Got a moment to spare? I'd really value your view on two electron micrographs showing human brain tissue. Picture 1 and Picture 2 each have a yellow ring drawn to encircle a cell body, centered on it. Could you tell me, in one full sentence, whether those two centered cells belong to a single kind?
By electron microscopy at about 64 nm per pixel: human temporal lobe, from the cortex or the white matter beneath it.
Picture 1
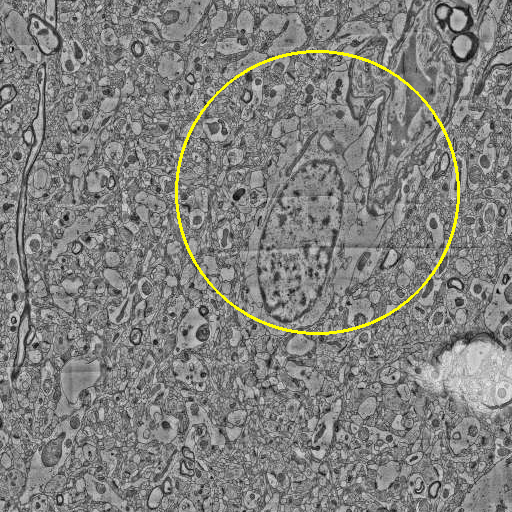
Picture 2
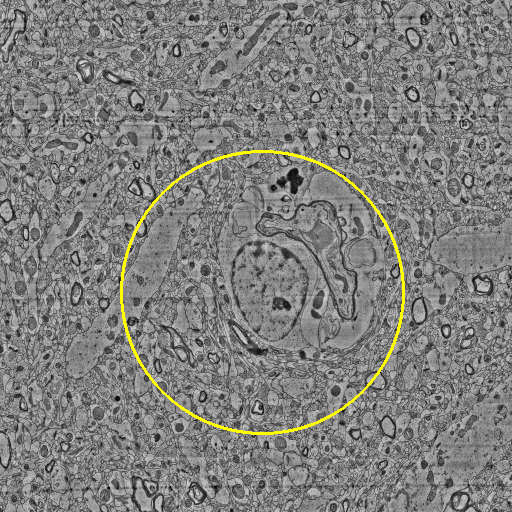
Yes, the two centered cells in Picture 1 and Picture 2 are of a single kind.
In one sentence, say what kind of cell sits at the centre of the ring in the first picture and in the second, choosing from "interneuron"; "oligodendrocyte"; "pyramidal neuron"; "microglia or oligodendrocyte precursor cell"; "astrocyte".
The ring centre holds a microglial cell or oligodendrocyte precursor cell in each of the two pictures.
